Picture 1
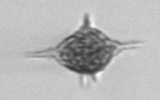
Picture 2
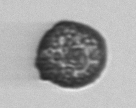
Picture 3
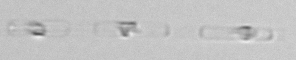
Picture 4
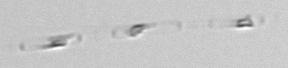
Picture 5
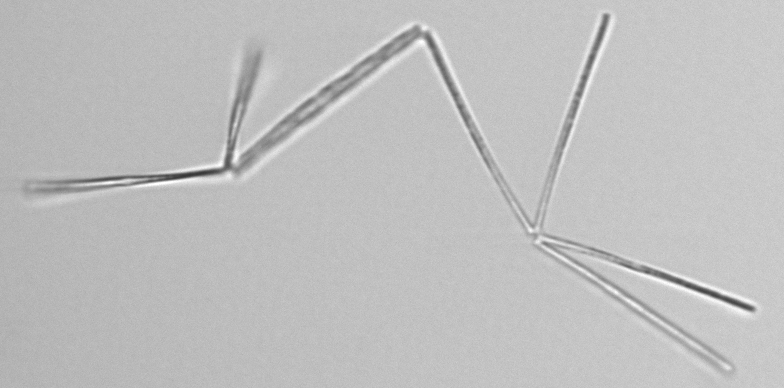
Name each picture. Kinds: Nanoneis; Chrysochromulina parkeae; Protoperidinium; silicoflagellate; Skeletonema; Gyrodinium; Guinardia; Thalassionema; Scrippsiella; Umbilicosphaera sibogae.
(1) silicoflagellate
(2) Umbilicosphaera sibogae
(3) Skeletonema
(4) Skeletonema
(5) Thalassionema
